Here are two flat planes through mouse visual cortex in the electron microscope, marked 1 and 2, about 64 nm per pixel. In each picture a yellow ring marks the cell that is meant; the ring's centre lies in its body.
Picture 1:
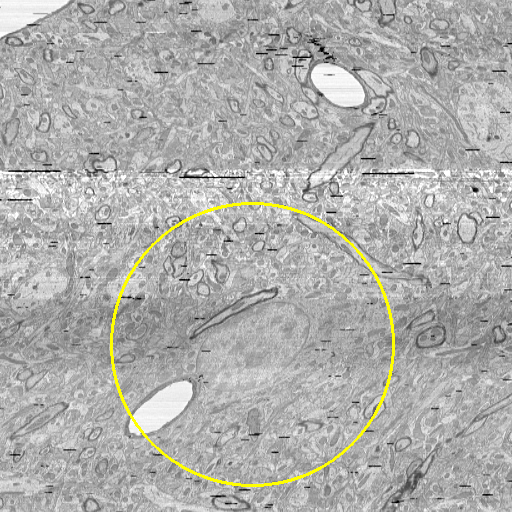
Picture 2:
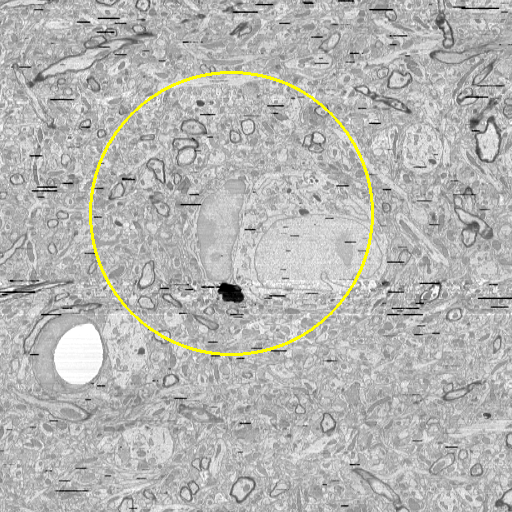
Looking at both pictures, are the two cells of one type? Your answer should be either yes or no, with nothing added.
no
